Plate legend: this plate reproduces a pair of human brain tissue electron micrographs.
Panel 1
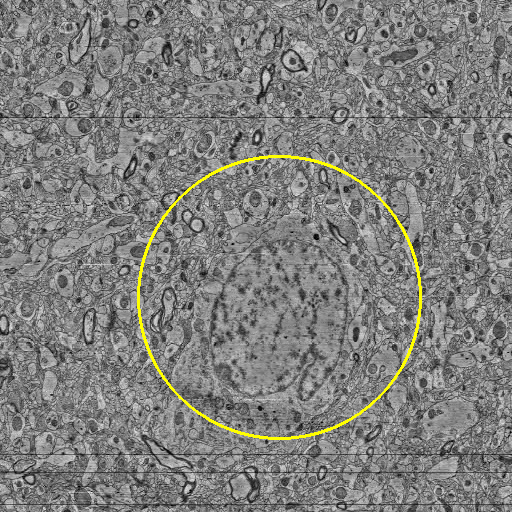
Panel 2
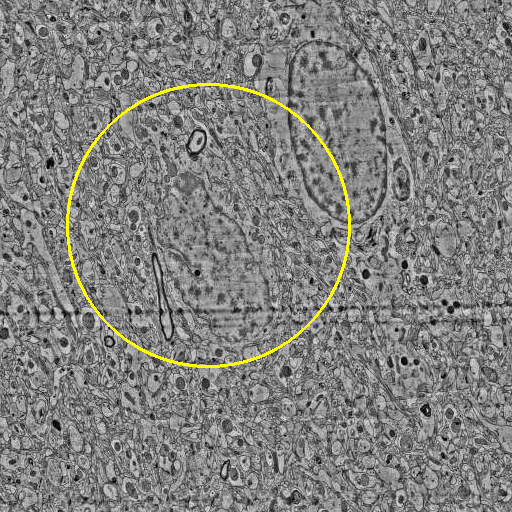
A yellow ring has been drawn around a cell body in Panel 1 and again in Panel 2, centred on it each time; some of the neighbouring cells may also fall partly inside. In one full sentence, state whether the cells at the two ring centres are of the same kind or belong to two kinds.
The ring-centred cells of Panel 1 and Panel 2 are of the same kind.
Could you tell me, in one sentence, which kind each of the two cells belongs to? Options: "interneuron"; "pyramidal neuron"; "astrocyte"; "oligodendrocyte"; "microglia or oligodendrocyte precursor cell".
Each of the two rings surrounds an interneuron.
